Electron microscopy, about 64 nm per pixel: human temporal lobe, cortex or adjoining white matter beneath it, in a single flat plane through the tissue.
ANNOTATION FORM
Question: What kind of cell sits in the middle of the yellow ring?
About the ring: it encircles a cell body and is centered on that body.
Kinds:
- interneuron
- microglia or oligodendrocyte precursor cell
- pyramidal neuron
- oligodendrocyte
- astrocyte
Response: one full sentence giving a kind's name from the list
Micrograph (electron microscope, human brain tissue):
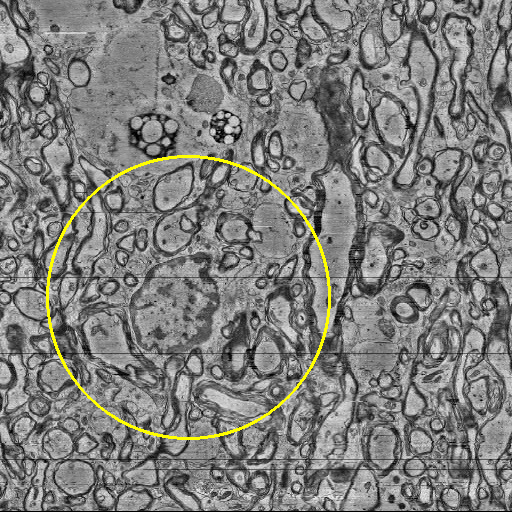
The kind of cell found at the center of the yellow ring in the micrograph is a microglial cell or oligodendrocyte precursor cell.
